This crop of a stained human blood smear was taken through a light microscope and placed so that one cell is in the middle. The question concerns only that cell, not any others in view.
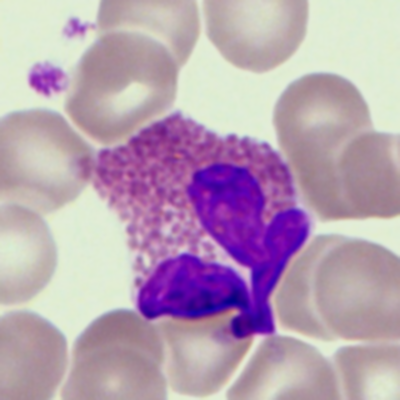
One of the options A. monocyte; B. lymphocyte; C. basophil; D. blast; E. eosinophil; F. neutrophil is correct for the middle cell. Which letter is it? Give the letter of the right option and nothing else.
E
